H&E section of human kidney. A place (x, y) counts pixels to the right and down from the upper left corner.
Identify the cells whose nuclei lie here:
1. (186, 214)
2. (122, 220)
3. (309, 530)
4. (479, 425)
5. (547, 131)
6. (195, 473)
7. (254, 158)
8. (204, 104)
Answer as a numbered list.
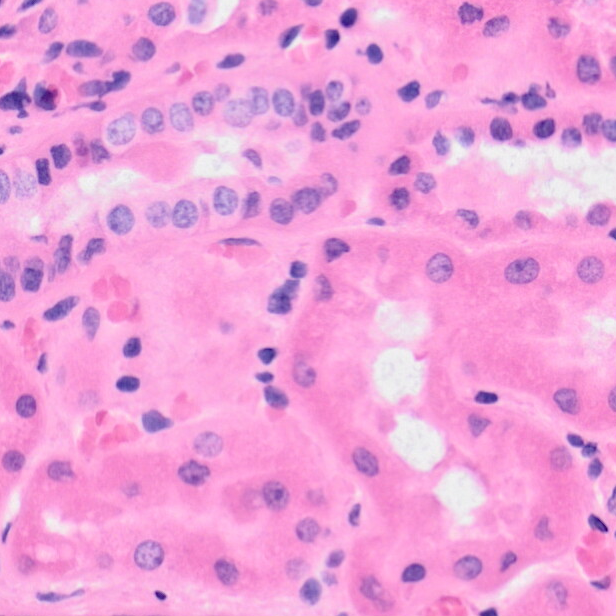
1. collecting duct cell
2. collecting duct cell
3. proximal tubule cell
4. proximal tubule cell
5. loop of Henle or distal tubule cell
6. proximal tubule cell
7. collecting duct cell
8. collecting duct cell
